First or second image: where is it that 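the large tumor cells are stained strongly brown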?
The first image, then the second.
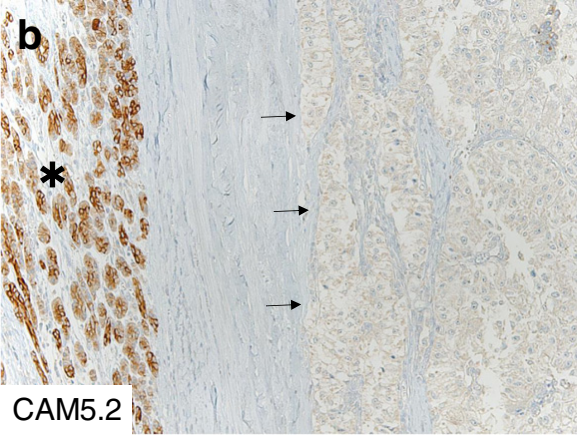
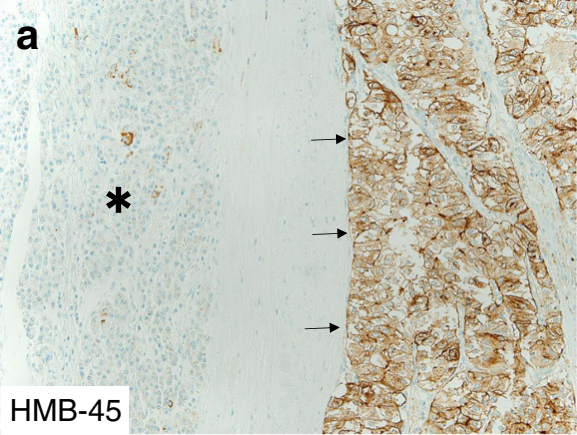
The second image.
